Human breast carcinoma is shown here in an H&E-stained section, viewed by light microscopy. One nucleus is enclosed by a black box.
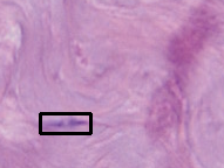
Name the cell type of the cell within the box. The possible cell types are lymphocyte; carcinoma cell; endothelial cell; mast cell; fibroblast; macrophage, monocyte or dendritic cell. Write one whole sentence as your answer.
So far as cell type goes, the cell within the box is a fibroblast.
